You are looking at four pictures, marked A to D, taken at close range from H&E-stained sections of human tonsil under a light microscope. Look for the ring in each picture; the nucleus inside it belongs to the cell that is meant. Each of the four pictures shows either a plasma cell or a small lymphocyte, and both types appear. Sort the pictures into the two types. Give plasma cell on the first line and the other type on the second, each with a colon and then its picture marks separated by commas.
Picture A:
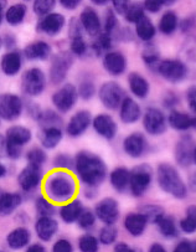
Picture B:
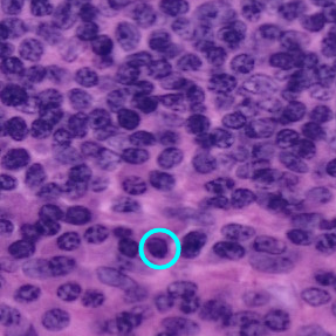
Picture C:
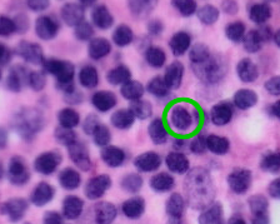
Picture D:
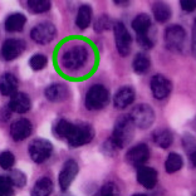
plasma cell: B, D
small lymphocyte: A, C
